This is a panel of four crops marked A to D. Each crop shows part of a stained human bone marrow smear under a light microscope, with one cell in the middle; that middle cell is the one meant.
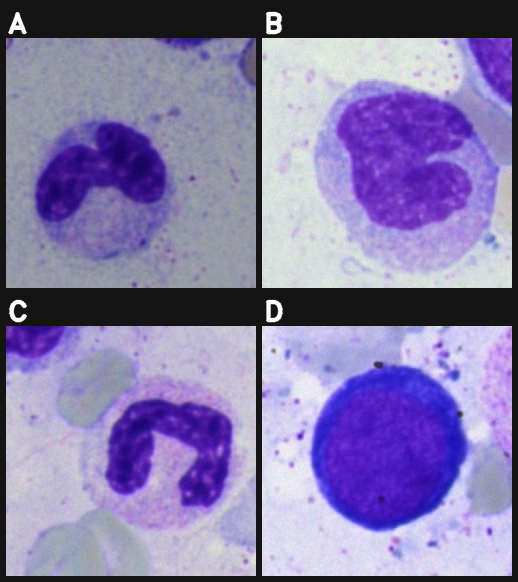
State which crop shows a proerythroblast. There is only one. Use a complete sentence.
Of the cells presented, the one in crop D is a proerythroblast.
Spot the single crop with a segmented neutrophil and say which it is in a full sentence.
Crop C is the crop containing a segmented neutrophil.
